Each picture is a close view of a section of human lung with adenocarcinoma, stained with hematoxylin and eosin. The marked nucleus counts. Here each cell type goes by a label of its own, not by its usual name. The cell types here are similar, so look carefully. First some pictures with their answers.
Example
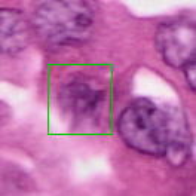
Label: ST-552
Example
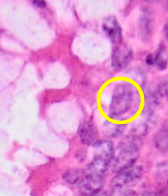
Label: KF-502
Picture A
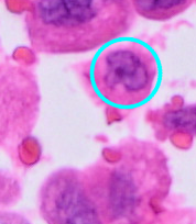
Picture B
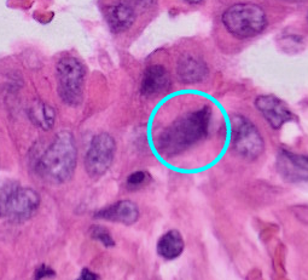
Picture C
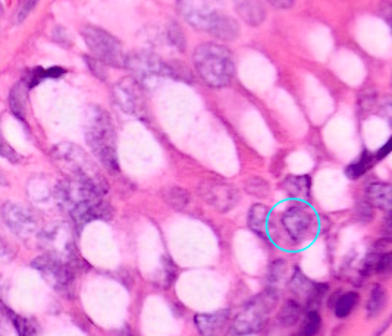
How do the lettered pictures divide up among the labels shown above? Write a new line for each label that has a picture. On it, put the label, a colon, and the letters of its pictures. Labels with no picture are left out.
ST-552: A, B
KF-502: C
